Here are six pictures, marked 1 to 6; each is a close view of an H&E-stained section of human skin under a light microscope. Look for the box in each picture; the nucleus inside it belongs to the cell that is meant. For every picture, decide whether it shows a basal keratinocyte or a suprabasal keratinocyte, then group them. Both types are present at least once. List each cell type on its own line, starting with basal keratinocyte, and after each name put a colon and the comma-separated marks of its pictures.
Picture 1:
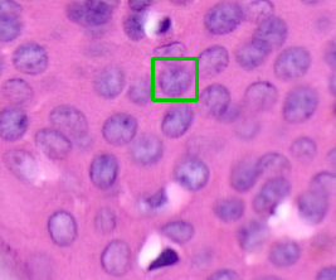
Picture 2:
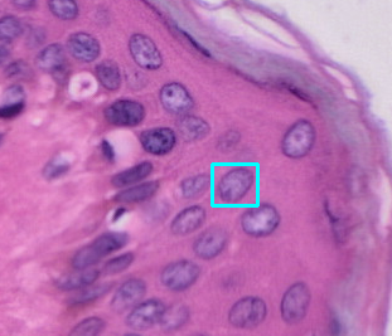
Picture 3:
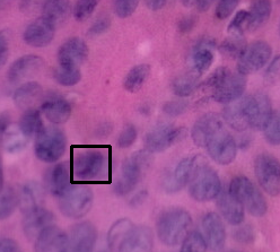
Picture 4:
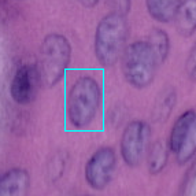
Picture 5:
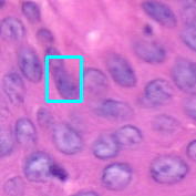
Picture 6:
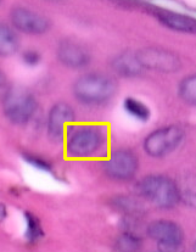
basal keratinocyte: 3, 5, 6
suprabasal keratinocyte: 1, 2, 4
